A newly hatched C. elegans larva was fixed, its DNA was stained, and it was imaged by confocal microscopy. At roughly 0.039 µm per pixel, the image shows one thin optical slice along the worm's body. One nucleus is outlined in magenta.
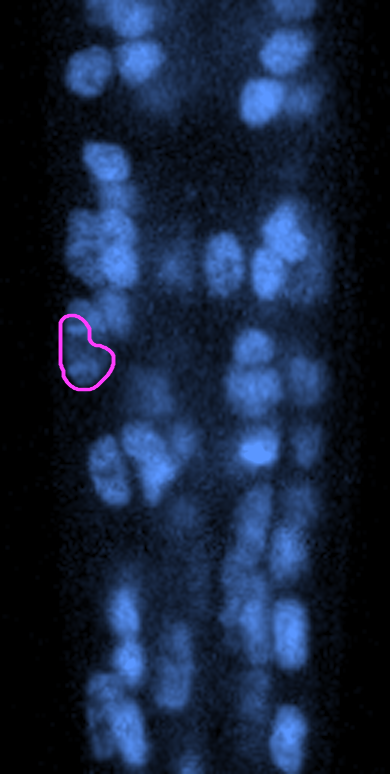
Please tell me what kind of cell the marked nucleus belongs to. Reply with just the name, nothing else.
hypodermal cell (hyp)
